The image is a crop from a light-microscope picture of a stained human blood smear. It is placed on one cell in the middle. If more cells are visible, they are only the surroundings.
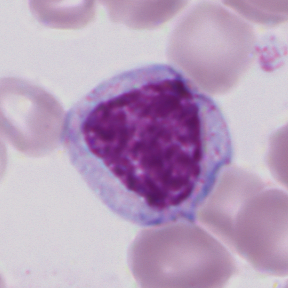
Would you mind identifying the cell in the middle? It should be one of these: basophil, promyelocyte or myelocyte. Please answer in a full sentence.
The centered cell in this crop is a myelocyte.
